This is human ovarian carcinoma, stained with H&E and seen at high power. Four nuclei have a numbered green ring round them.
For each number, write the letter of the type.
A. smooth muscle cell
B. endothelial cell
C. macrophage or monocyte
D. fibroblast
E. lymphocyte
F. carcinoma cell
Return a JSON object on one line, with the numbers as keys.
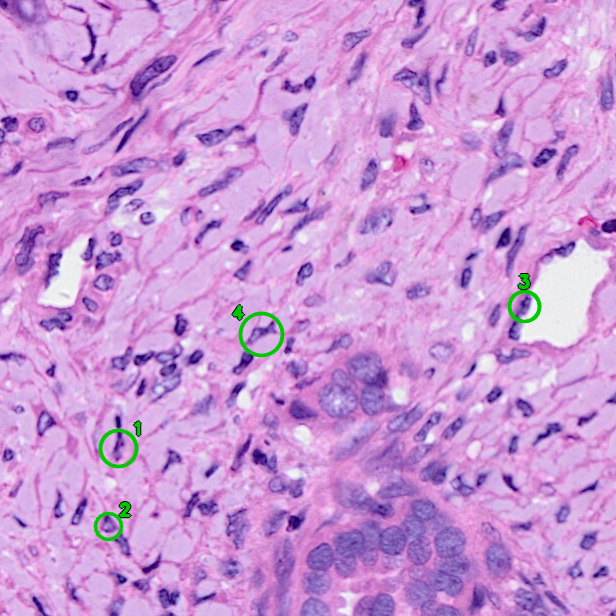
{"1": "D", "2": "D", "3": "B", "4": "D"}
